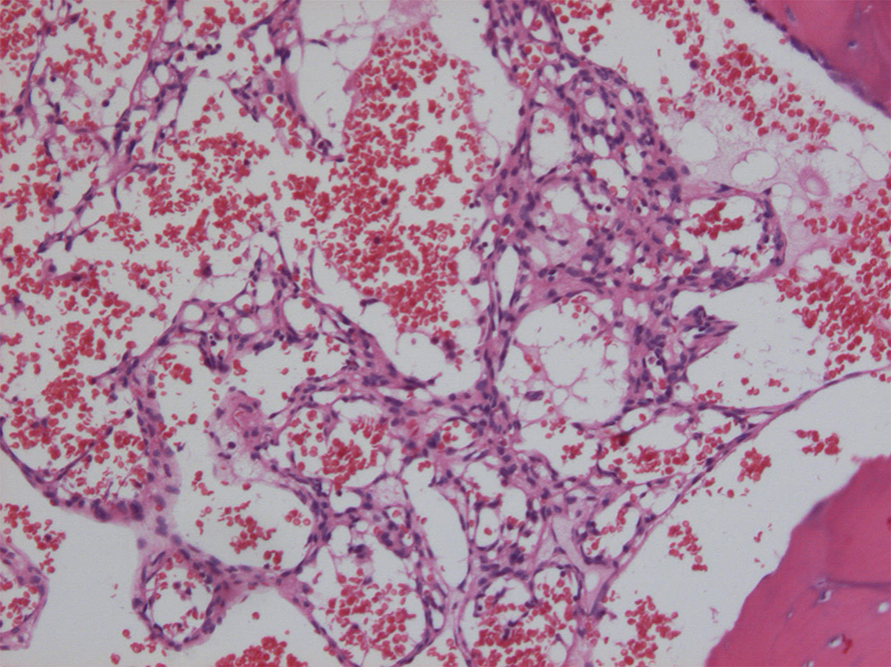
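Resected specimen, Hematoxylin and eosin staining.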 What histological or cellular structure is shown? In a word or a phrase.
Sinusoidal channels.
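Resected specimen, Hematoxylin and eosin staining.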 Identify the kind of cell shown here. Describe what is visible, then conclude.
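Numerous small round bright red anucleate bodies. They lie packed inside open spaces between thin cellular septa.
Erythrocytes.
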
